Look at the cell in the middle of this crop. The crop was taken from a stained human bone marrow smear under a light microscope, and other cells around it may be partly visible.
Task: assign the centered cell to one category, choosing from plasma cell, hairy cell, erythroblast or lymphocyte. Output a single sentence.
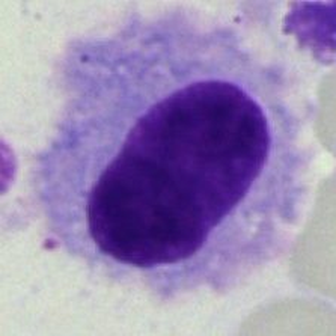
Seen at the centre of the crop is a hairy cell.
